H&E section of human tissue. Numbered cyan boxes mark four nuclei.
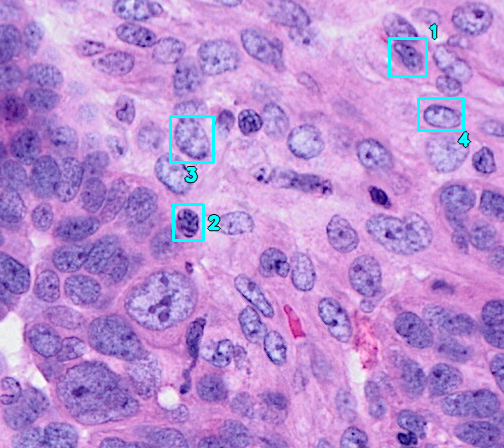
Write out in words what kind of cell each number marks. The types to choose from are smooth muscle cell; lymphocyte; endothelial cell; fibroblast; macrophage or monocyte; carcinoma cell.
Cell 1 is an endothelial cell, cell 2 is a lymphocyte, cell 3 is a fibroblast and cell 4 is a fibroblast.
